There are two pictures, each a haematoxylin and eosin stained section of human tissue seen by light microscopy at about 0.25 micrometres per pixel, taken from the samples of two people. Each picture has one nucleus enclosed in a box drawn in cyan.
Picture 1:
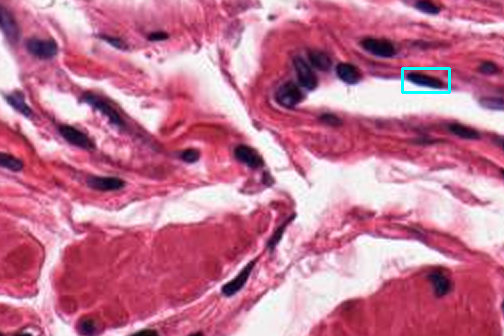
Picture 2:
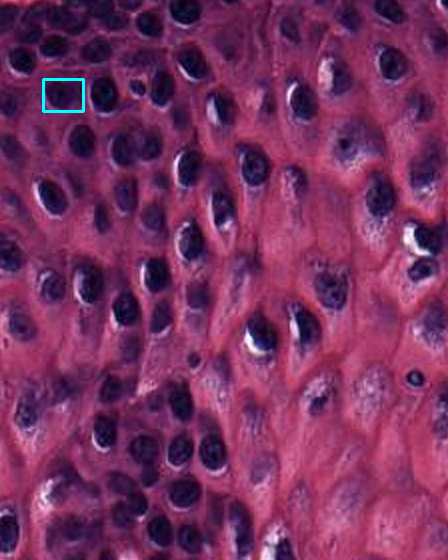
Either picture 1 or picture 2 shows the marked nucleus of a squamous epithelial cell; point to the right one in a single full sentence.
The marked nucleus seen in picture 2 is that of a squamous epithelial cell.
